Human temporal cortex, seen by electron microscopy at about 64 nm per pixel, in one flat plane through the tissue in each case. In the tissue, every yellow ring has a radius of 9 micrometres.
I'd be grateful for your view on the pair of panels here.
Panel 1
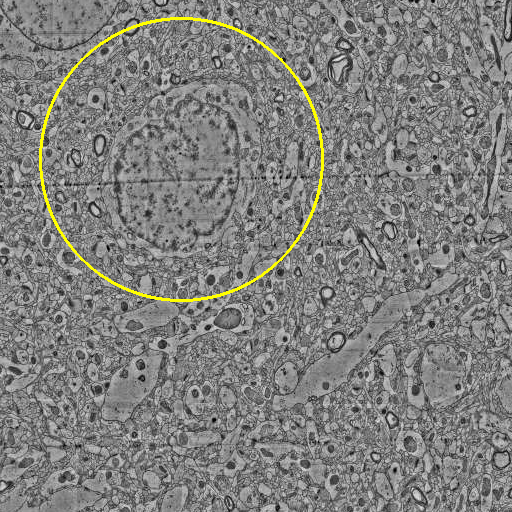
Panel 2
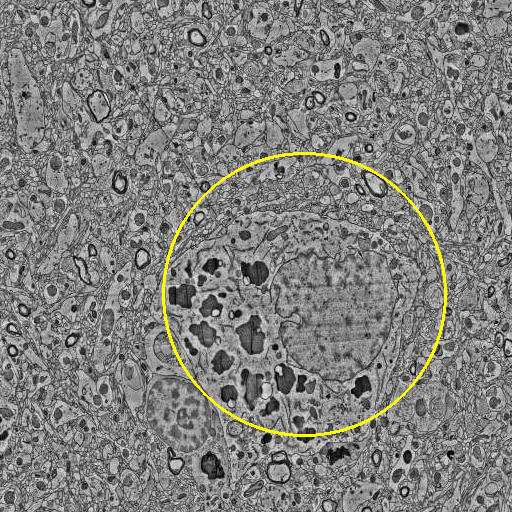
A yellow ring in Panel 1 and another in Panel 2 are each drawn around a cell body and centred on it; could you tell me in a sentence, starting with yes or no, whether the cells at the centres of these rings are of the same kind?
Yes, they are the same kind of cell.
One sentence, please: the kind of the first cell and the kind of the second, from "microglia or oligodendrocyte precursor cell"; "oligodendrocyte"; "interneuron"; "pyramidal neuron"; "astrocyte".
Both the first and the second picture show an interneuron in the ring.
